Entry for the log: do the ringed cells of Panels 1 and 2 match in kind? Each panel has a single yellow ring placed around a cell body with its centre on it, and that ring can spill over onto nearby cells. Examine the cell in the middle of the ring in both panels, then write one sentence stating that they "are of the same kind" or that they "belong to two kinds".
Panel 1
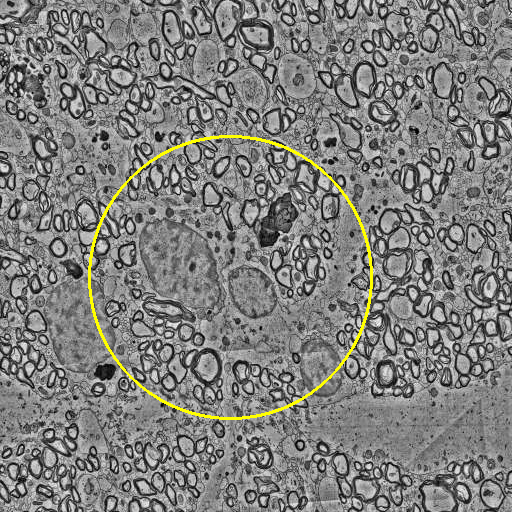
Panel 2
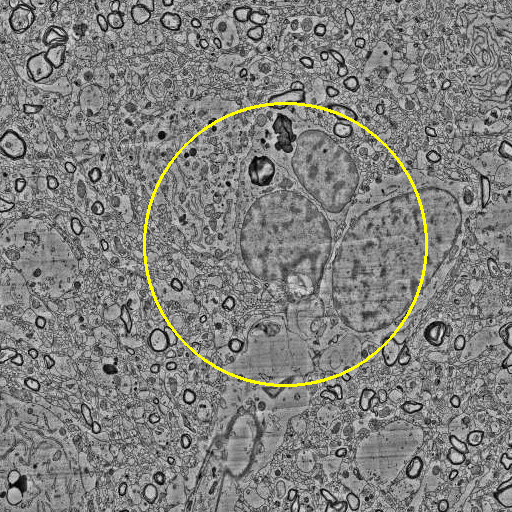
The centre cell of Panel 1's ring and that of Panel 2's ring belong to two kinds.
